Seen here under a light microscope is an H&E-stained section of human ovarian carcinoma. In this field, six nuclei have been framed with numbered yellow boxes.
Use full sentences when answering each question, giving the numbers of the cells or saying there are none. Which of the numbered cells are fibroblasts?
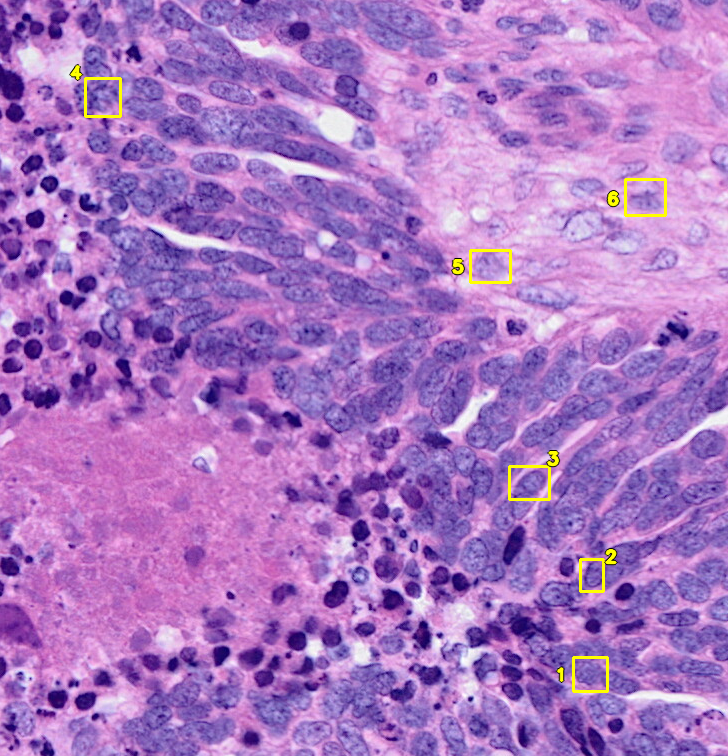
When it comes to cells 5 and 6, they are fibroblasts.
